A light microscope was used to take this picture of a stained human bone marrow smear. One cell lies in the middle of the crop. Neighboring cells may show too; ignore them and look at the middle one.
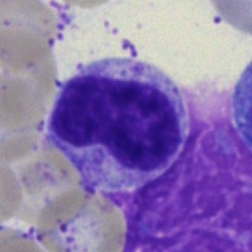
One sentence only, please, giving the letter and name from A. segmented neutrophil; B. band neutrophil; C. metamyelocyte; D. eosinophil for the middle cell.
The cell placed in the middle is a metamyelocyte; option C is correct.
